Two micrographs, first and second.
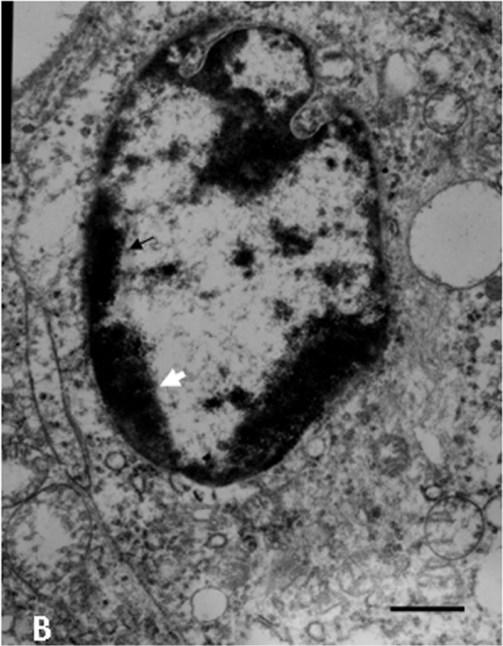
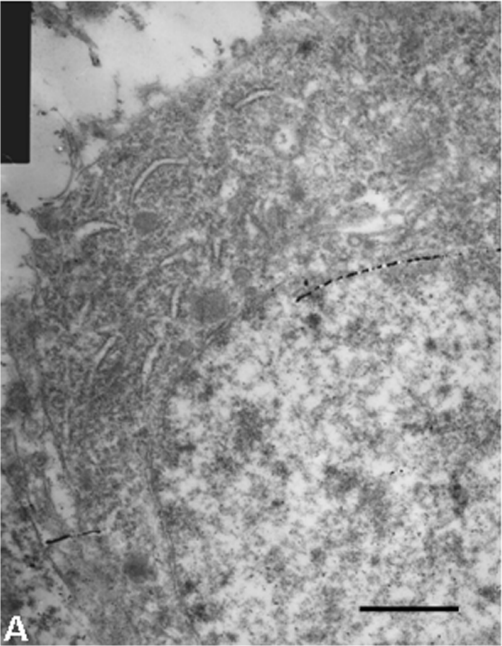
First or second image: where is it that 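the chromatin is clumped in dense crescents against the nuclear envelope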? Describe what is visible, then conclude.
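First image: thick dark chromatin bands line the nuclear edge around a pale centre. Second image: the nucleus shows evenly spread fine granular chromatin without peripheral crescents.
Hence: the first image.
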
